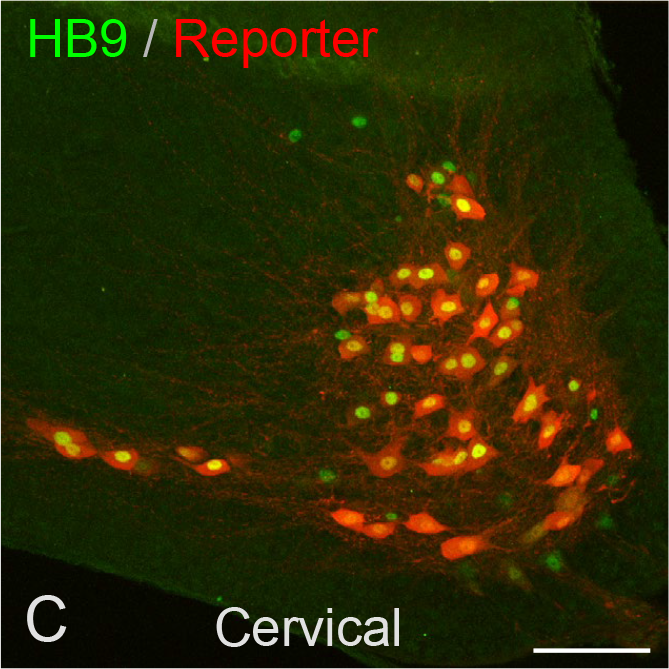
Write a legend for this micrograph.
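Ventral horn of the spinal cord with motor neuron pools. Large multipolar somata, red, are packed in a dorsolateral cluster and a ventral band, with a row of spindle-shaped cells running medially along the ventral edge. Most red somata carry a round green nucleus, giving yellow nuclei within red cytoplasm. Fine red dendrites spread radially into the surrounding grey and white matter. A few small green nuclei without red cytoplasm lie scattered dorsal to the main cluster.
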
